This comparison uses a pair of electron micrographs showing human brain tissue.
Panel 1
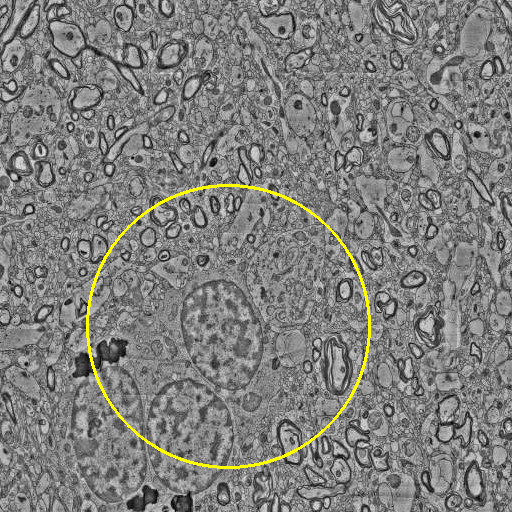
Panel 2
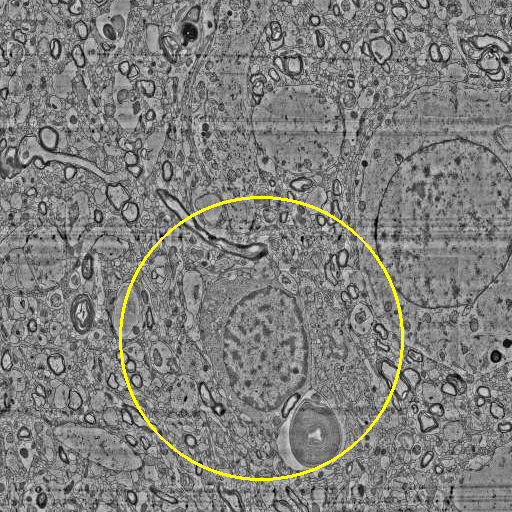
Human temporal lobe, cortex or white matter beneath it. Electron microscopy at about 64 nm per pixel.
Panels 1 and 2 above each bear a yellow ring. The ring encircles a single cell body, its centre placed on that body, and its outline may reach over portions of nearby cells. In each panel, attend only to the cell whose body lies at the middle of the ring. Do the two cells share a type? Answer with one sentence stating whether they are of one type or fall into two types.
In Panel 1 and Panel 2, the cells at the centres of the rings are of one type.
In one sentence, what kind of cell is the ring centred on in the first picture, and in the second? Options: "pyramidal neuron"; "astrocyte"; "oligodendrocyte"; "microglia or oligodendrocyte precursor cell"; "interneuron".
In each of the two pictures, the ringed cell is an oligodendrocyte.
